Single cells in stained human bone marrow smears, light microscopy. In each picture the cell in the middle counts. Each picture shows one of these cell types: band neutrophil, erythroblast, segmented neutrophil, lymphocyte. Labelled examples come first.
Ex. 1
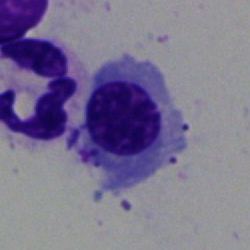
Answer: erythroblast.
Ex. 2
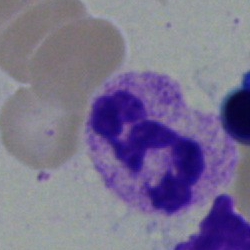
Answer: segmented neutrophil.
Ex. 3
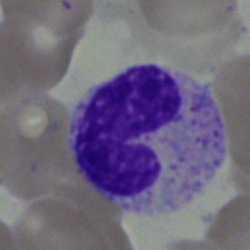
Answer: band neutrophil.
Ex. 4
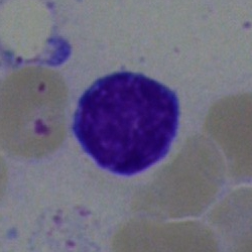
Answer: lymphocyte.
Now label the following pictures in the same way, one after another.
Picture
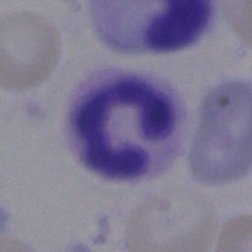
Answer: segmented neutrophil.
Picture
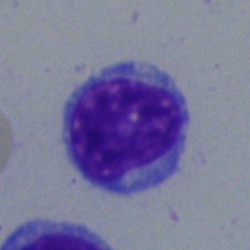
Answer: lymphocyte.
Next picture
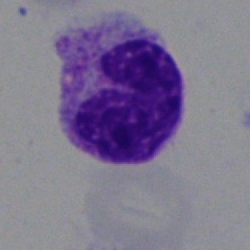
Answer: band neutrophil.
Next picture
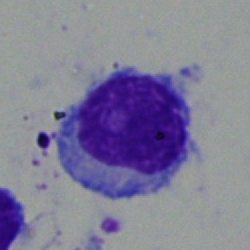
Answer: lymphocyte.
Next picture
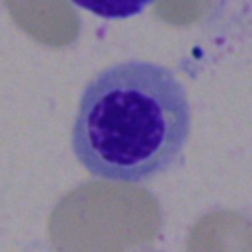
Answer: erythroblast.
